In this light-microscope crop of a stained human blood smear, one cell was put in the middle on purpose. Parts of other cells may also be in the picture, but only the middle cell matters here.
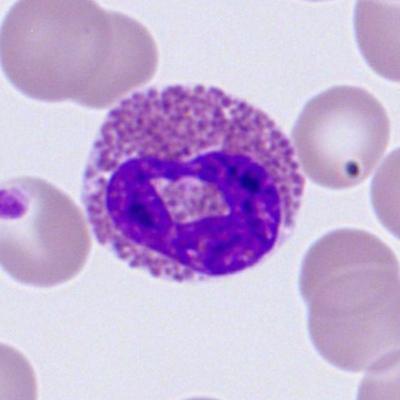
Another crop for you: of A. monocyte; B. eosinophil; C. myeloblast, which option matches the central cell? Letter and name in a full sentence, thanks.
As the central cell is an eosinophil, option B is correct.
